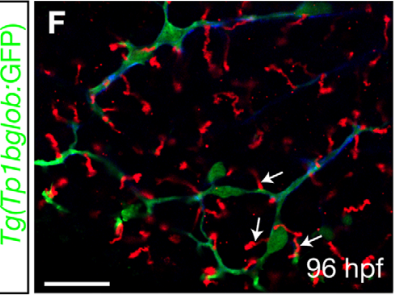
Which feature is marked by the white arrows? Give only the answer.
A: Canaliculi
